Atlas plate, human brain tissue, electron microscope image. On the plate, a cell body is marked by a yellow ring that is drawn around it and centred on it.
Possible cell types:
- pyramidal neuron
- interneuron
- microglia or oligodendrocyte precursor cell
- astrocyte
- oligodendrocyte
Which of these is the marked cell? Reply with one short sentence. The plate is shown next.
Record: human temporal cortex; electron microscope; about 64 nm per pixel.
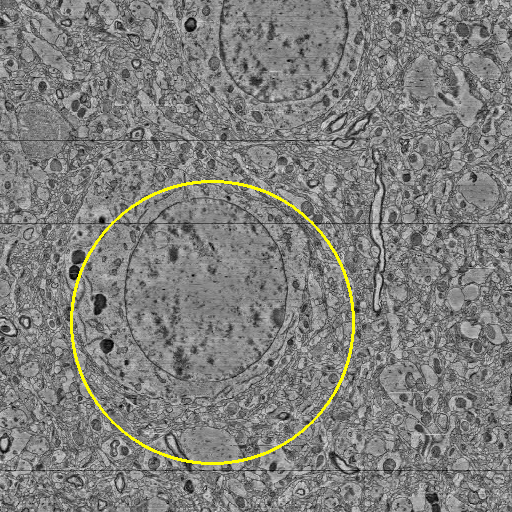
The marked cell is a pyramidal neuron.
